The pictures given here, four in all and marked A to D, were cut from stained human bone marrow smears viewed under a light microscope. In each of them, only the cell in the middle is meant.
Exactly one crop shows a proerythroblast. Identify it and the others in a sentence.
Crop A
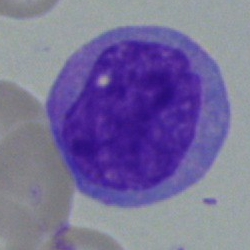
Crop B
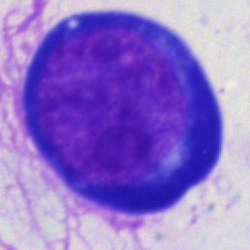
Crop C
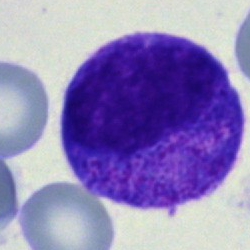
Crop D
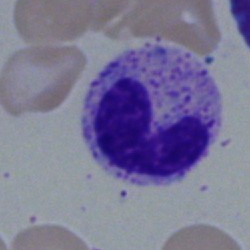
Crop B shows a proerythroblast, and as for the other crops, crop A is a monocyte, crop C is a promyelocyte and crop D is a band neutrophil.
